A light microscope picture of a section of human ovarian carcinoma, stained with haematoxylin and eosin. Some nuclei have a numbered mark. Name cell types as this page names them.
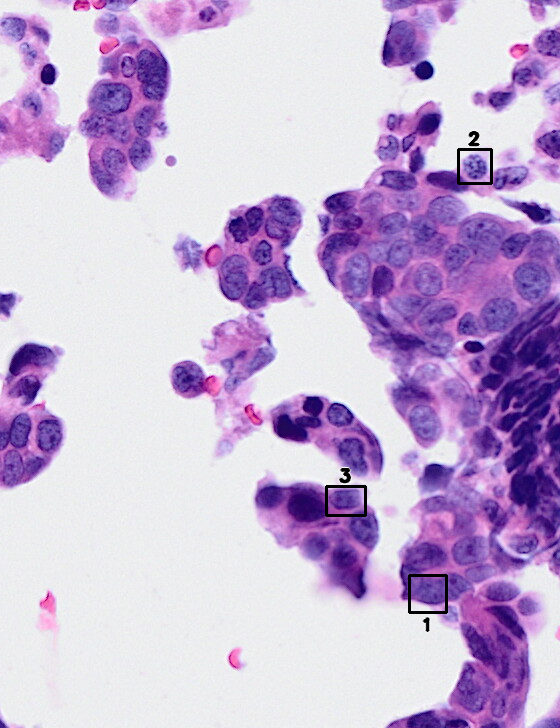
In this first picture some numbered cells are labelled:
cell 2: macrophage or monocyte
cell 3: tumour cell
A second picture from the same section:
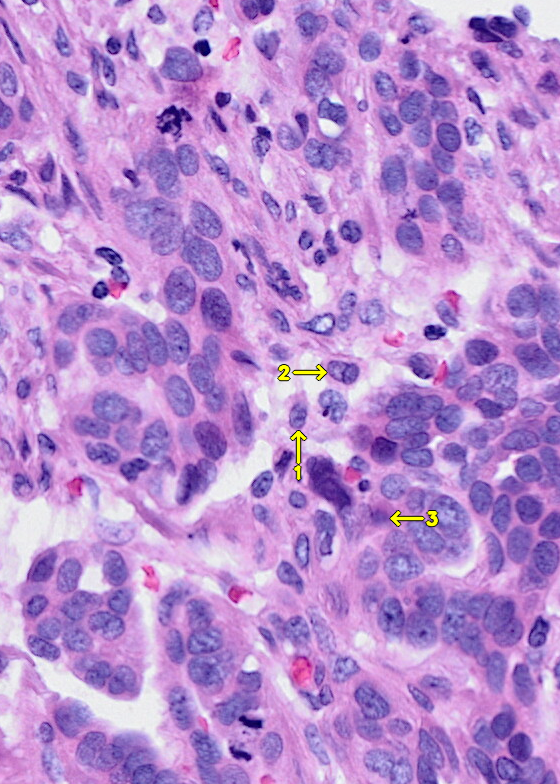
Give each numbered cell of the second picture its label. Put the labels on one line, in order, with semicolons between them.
macrophage or monocyte; macrophage or monocyte; tumour cell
